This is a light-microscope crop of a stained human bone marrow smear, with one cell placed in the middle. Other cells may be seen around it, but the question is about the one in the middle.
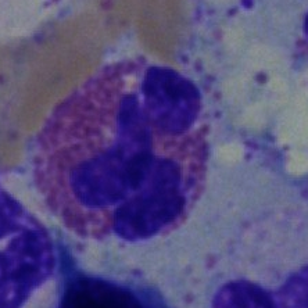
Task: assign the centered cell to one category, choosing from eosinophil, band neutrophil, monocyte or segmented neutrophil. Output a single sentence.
The cell in the middle of this crop is an eosinophil.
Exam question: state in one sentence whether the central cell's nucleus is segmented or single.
Counting the nuclear lobes gives a total of at least two.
